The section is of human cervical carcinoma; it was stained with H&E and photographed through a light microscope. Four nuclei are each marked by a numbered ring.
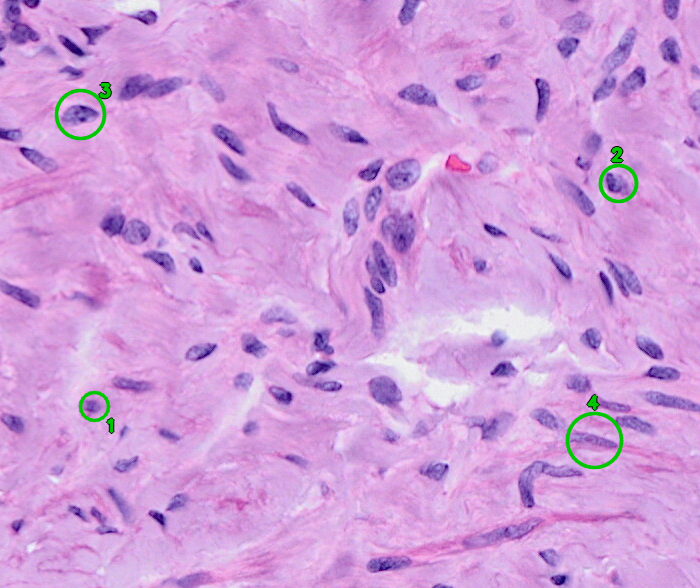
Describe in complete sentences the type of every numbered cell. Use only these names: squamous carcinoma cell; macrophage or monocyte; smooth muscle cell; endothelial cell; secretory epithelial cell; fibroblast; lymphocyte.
Cells 1 and 4 are smooth muscle cells. Cells 2 and 3 are fibroblasts.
